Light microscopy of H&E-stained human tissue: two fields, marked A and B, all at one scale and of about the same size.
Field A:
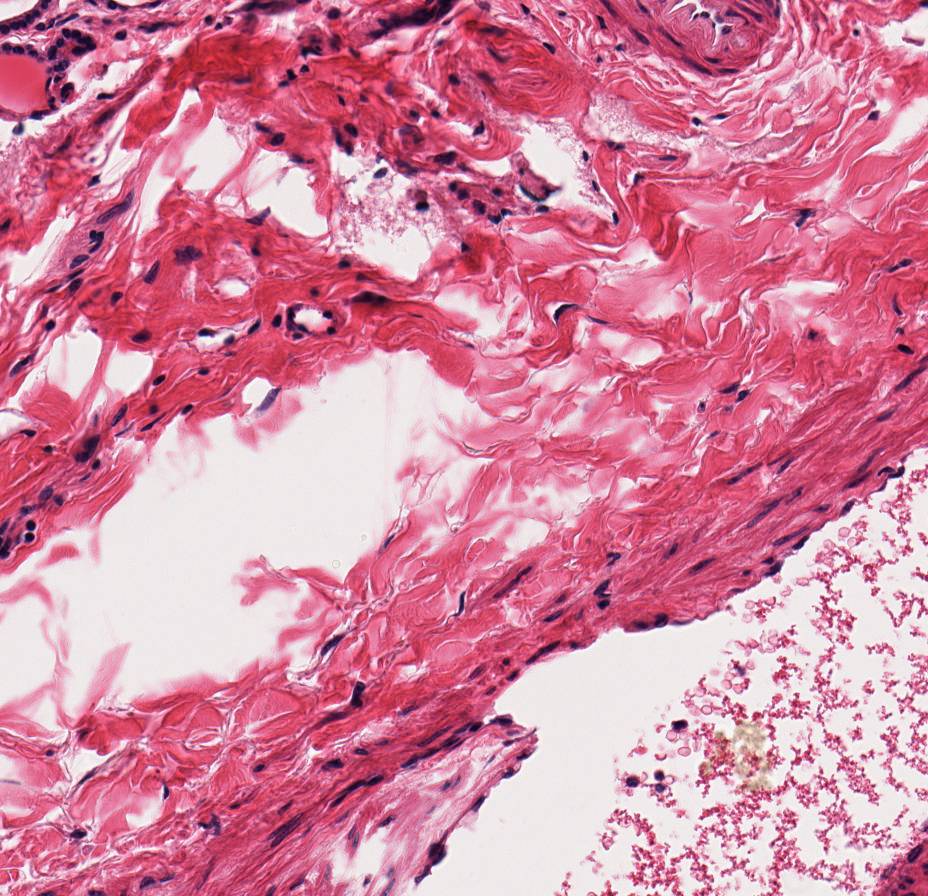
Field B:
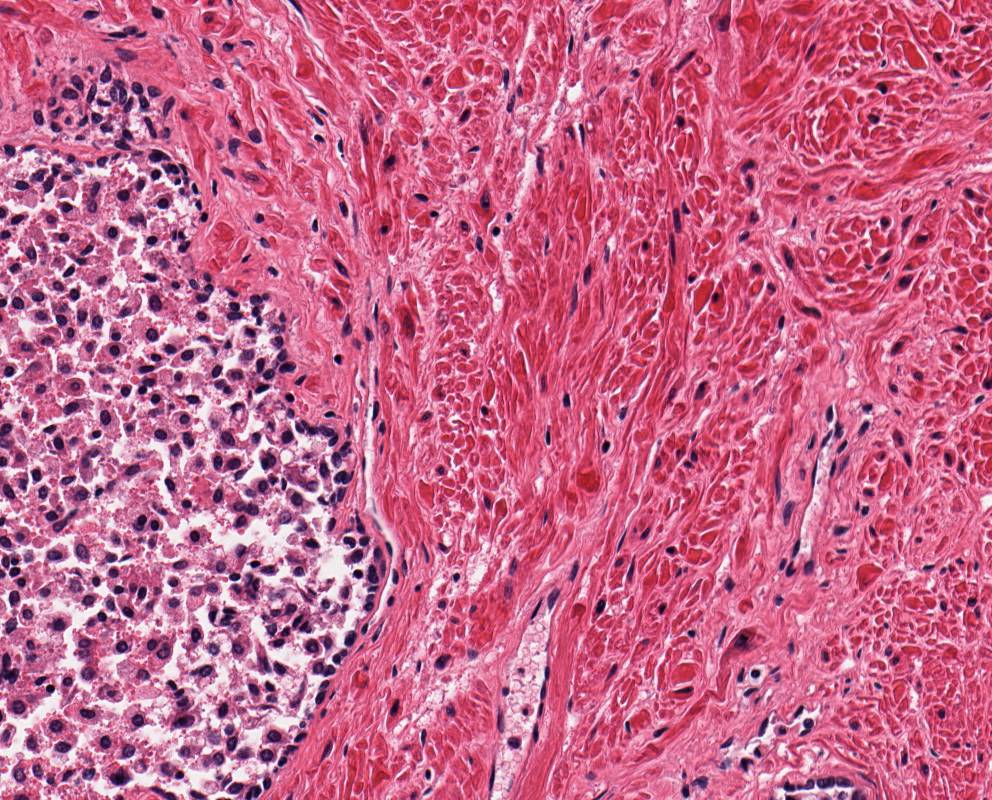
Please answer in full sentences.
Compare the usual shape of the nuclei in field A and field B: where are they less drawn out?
It is field B whose nuclei are the rounder.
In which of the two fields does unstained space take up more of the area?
Field A has more white space.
